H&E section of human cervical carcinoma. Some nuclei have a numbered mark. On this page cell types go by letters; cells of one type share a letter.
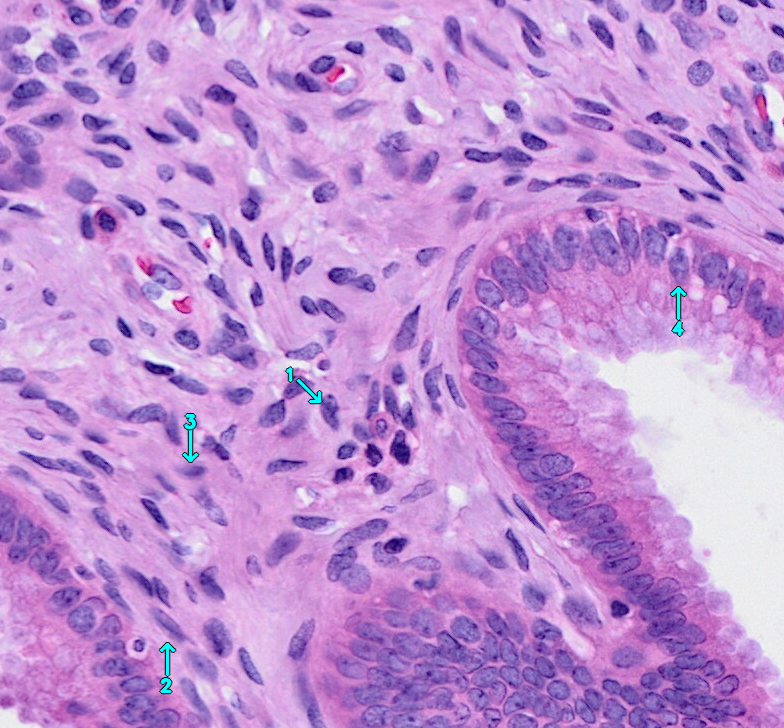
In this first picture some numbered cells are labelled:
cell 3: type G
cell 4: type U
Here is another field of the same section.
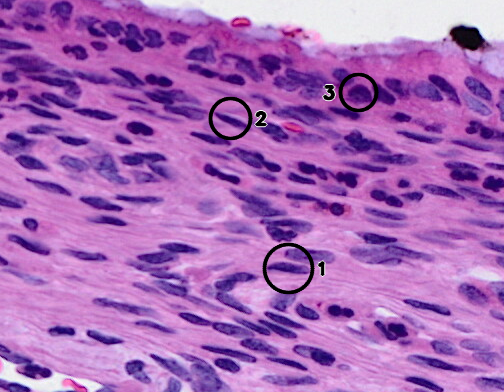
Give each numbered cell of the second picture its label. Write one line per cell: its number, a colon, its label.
1: type G
2: type G
3: type U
